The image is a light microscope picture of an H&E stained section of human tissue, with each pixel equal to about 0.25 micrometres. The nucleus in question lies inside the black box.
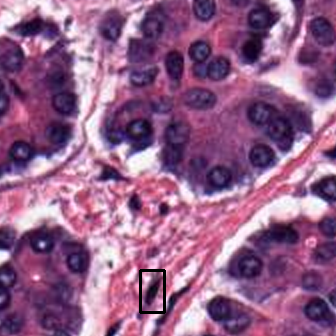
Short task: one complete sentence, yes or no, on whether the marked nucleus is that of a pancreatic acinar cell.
No, instead of being part of a pancreatic acinar cell, the marked nucleus is part of a supporting cell.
